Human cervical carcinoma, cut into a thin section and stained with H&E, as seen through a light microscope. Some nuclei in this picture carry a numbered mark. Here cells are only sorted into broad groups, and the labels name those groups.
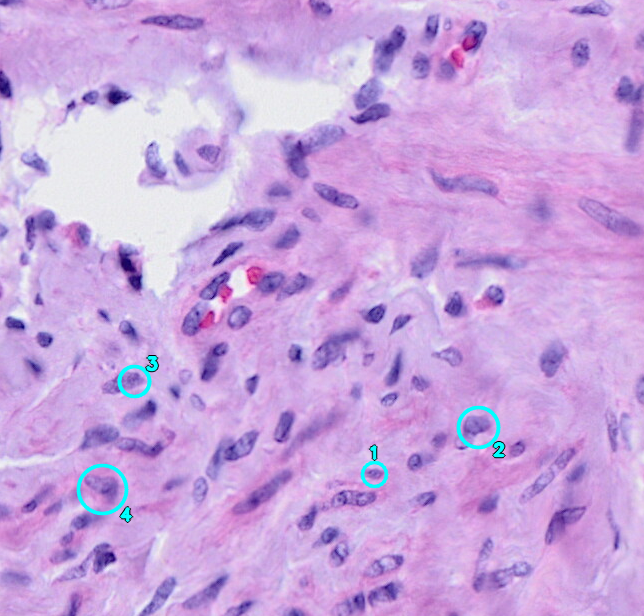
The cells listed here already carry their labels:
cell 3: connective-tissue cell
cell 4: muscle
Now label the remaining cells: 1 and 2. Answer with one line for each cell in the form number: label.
1: muscle
2: connective-tissue cell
